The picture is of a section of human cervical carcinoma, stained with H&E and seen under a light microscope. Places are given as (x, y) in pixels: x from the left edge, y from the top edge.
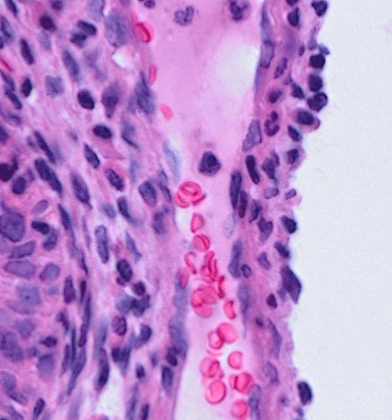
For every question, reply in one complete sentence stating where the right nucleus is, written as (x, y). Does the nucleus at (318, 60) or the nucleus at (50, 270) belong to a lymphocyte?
The one at (318, 60) is the nucleus belonging to a lymphocyte, not the other one.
